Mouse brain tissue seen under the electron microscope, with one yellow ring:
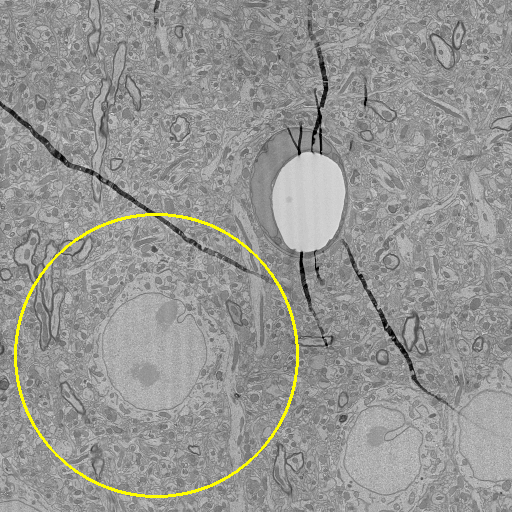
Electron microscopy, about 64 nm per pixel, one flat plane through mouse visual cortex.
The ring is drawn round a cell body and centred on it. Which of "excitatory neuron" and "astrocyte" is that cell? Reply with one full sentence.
The picture shows an excitatory neuron at the very centre of the yellow ring.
